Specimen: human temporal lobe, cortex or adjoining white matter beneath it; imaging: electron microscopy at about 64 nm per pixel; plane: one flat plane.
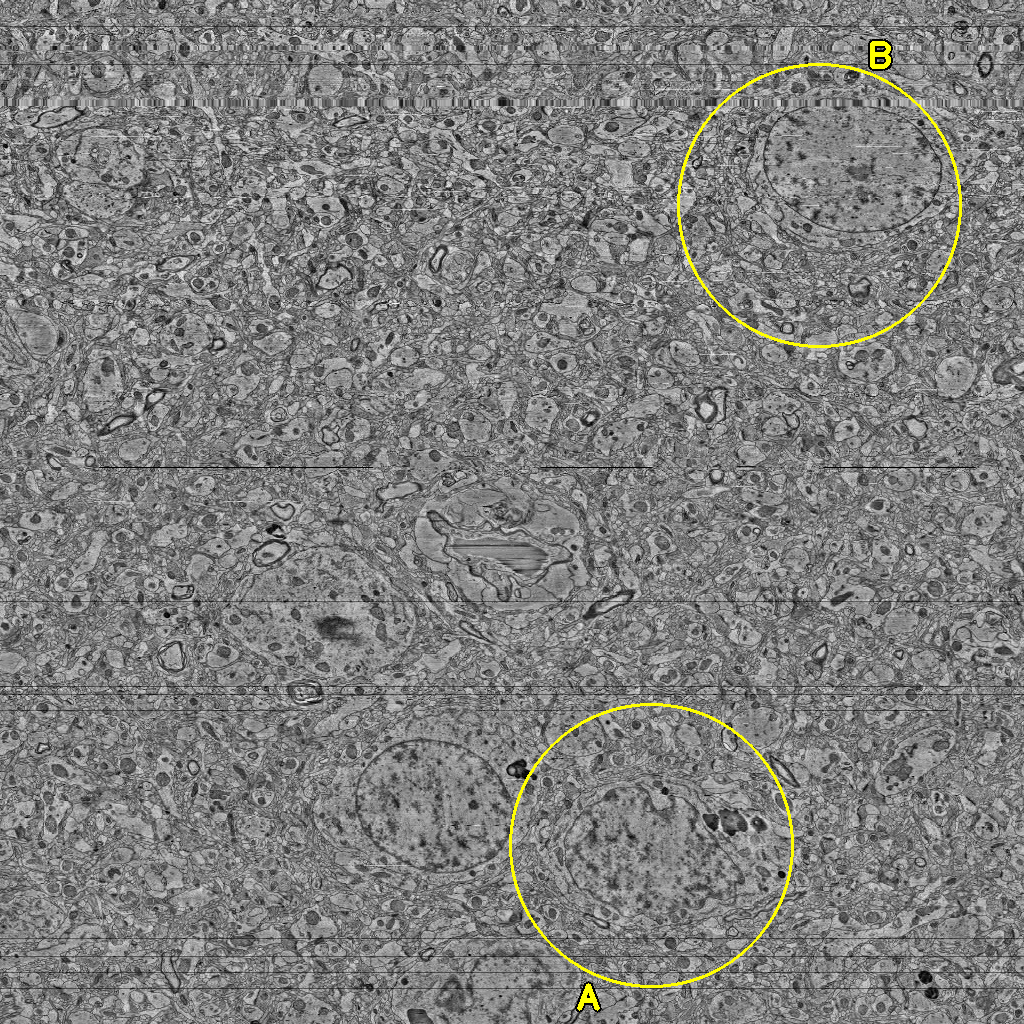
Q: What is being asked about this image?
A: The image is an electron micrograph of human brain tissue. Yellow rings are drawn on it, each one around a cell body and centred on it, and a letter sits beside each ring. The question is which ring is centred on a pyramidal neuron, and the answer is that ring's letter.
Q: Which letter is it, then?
B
